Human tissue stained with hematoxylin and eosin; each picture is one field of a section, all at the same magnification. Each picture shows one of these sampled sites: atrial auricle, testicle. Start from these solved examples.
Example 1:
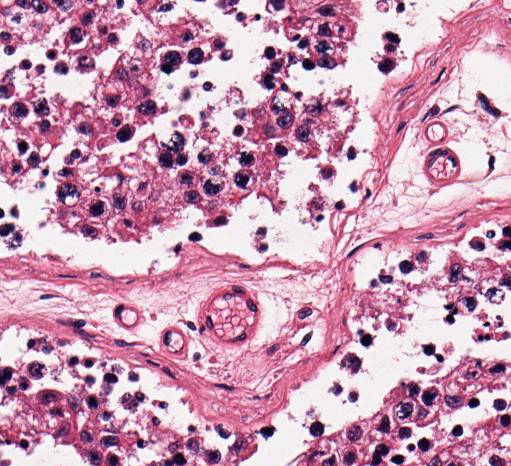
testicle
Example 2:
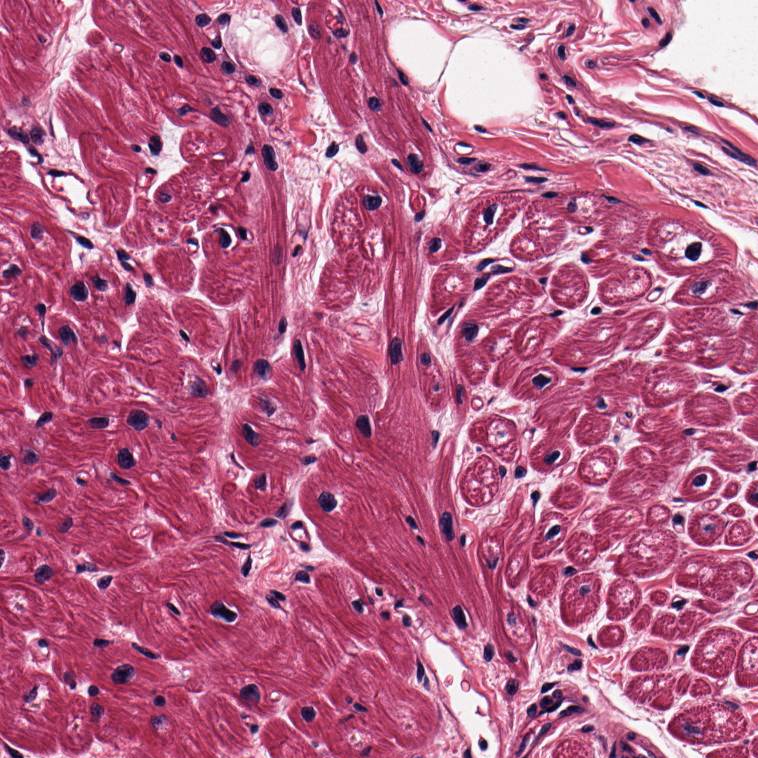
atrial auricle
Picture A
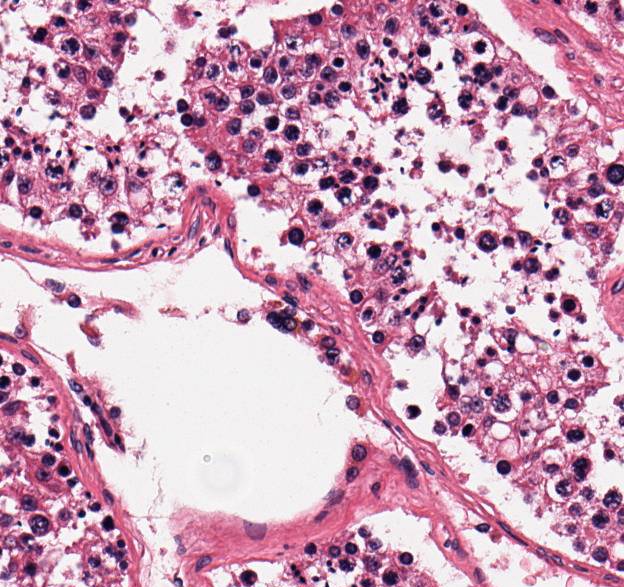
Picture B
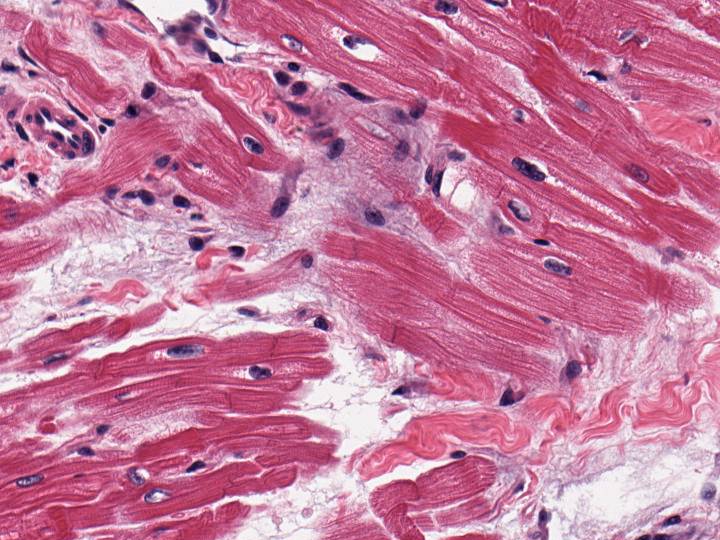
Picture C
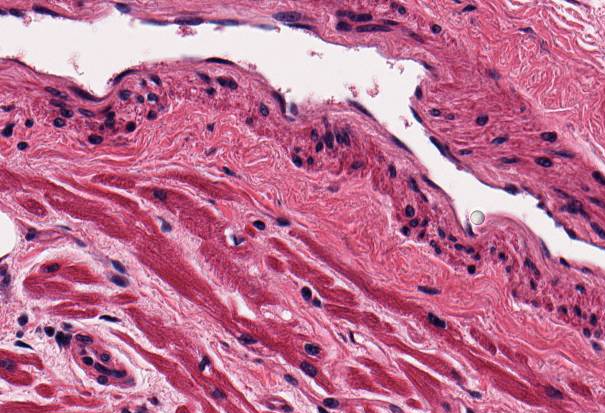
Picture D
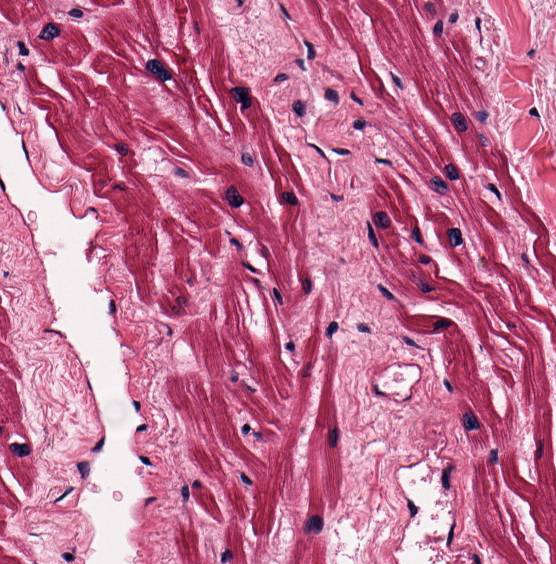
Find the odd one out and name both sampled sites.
Picture A: testicle. All others: atrial auricle.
